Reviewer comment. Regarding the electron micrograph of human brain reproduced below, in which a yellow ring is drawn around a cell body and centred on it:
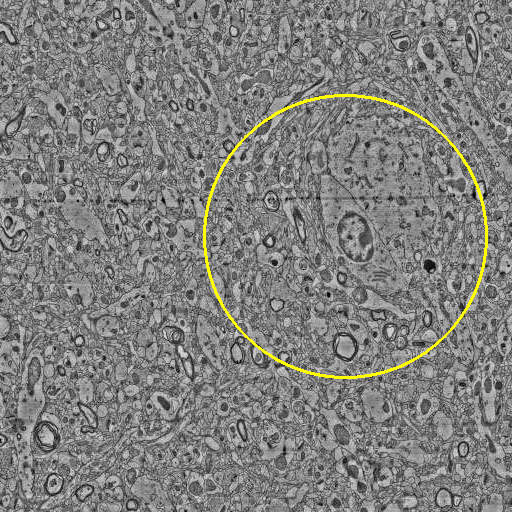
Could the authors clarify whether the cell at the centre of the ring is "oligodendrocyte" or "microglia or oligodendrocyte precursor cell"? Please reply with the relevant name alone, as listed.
microglia or oligodendrocyte precursor cell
